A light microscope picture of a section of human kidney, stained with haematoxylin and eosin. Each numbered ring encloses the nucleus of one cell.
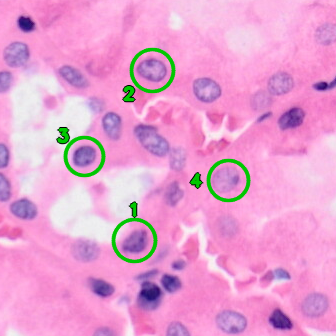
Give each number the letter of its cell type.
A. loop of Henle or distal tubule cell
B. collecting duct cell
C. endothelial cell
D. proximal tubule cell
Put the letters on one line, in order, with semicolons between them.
A; D; A; D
